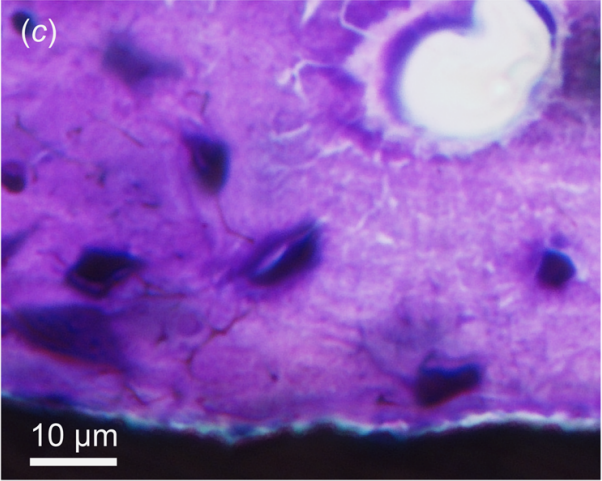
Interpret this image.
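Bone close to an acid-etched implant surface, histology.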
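The osteocytes are dark purple, spindle-shaped to oval, and lie scattered through a paler purple matrix. Fine thin canalicular processes run out from several of them into the surrounding matrix. At the top, a round canal is lined by a rim of denser purple matrix.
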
